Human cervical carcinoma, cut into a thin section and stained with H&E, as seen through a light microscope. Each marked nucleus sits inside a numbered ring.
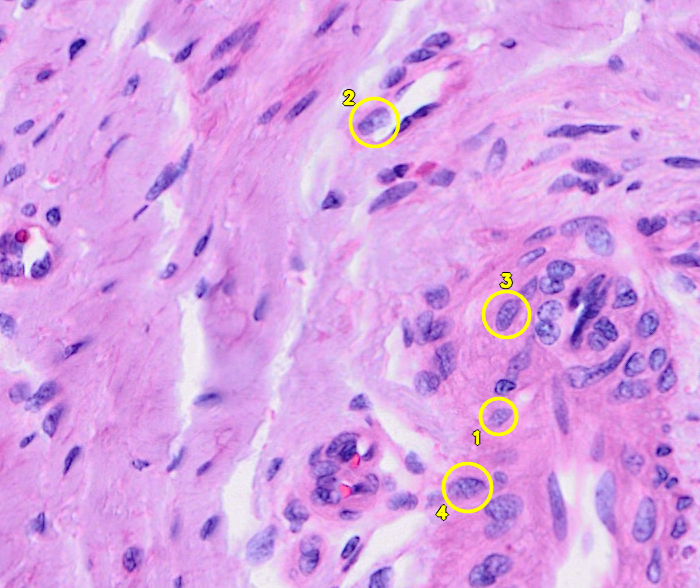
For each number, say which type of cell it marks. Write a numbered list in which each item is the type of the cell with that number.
1. smooth muscle cell
2. endothelial cell
3. smooth muscle cell
4. smooth muscle cell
